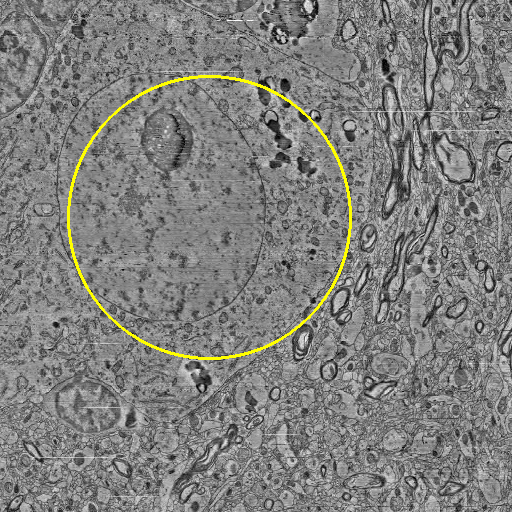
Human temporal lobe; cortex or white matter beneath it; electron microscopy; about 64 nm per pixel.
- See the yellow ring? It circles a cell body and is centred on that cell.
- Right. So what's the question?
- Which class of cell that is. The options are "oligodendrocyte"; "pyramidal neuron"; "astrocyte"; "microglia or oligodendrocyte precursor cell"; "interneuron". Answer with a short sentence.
The centre of the ring holds a pyramidal neuron.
